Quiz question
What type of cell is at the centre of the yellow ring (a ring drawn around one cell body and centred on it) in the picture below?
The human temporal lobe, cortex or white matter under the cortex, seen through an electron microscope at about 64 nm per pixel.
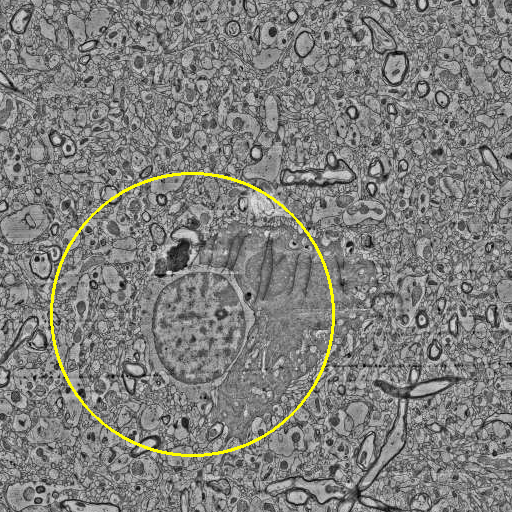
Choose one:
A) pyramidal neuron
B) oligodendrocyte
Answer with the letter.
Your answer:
B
